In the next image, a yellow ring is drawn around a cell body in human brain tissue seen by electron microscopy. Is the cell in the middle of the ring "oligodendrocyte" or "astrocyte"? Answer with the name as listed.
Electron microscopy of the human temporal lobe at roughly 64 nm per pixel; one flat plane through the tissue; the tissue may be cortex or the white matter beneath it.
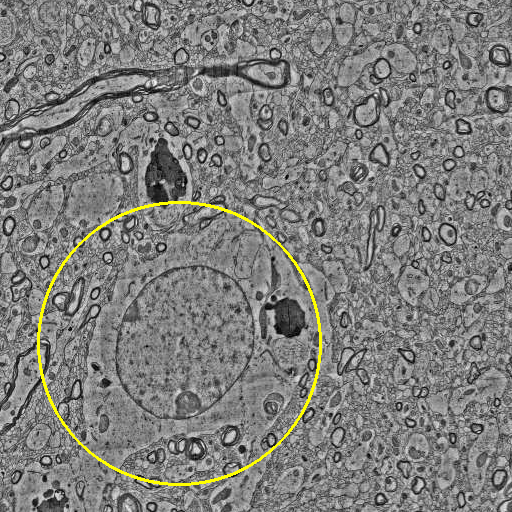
astrocyte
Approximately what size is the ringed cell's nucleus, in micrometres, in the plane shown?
In this plane, the nucleus of the cell at the centre of the ring measures about 10 by 8 micrometres.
